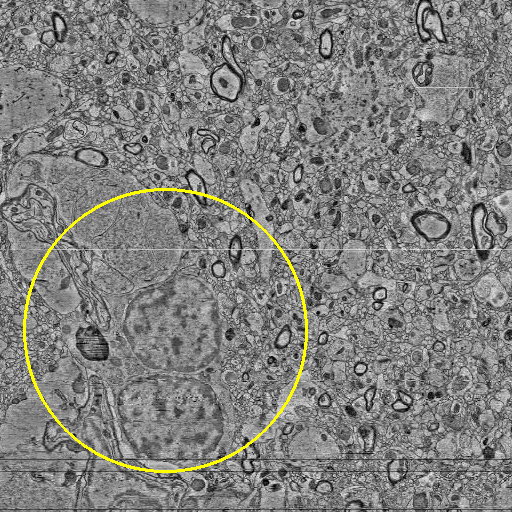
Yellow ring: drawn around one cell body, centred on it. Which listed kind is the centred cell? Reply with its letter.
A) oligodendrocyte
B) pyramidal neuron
A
